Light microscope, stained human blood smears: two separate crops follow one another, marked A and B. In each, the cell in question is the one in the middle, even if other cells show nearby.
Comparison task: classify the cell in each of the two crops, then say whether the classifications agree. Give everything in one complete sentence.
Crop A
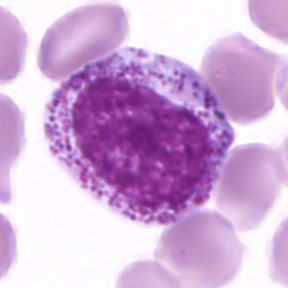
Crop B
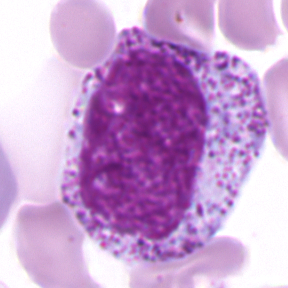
Yes, the first and the second crop both show myelocytes.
